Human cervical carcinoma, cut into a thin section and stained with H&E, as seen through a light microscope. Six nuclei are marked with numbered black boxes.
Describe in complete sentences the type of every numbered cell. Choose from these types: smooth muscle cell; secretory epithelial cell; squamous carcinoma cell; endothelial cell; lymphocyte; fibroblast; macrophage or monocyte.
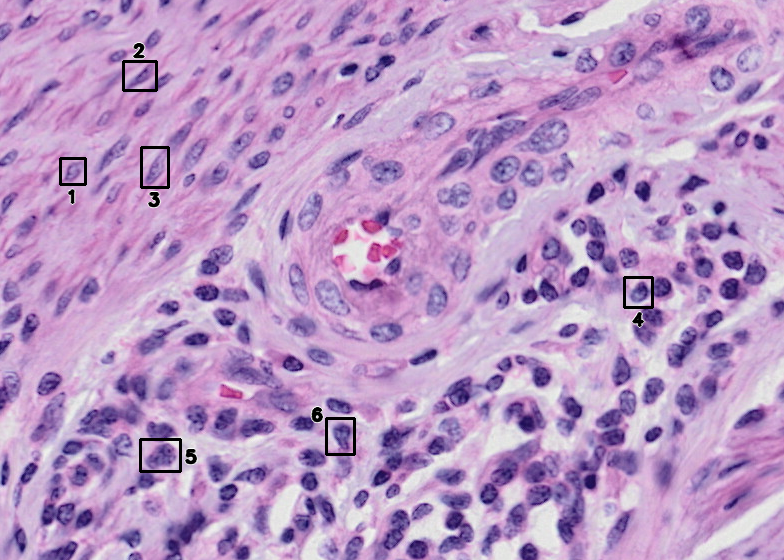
Cells 1, 2 and 3 are smooth muscle cells. Cells 4, 5 and 6 are lymphocytes.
